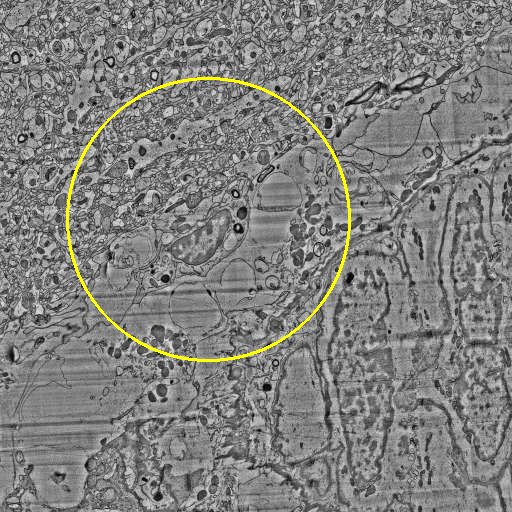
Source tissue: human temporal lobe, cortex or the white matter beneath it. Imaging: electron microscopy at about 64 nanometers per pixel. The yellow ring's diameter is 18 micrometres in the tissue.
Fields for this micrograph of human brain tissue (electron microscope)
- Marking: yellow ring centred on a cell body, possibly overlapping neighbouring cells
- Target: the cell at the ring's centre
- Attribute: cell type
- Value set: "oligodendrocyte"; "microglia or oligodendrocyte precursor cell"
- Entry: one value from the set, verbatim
microglia or oligodendrocyte precursor cell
